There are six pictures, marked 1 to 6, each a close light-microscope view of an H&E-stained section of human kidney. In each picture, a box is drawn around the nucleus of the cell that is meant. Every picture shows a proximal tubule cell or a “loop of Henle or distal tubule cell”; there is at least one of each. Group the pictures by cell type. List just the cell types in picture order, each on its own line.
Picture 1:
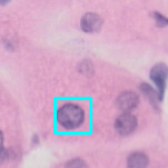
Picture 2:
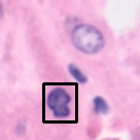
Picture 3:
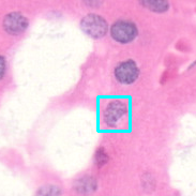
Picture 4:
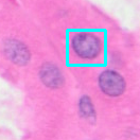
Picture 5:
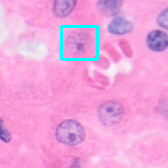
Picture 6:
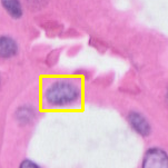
proximal tubule cell
proximal tubule cell
loop of Henle or distal tubule cell
proximal tubule cell
proximal tubule cell
loop of Henle or distal tubule cell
